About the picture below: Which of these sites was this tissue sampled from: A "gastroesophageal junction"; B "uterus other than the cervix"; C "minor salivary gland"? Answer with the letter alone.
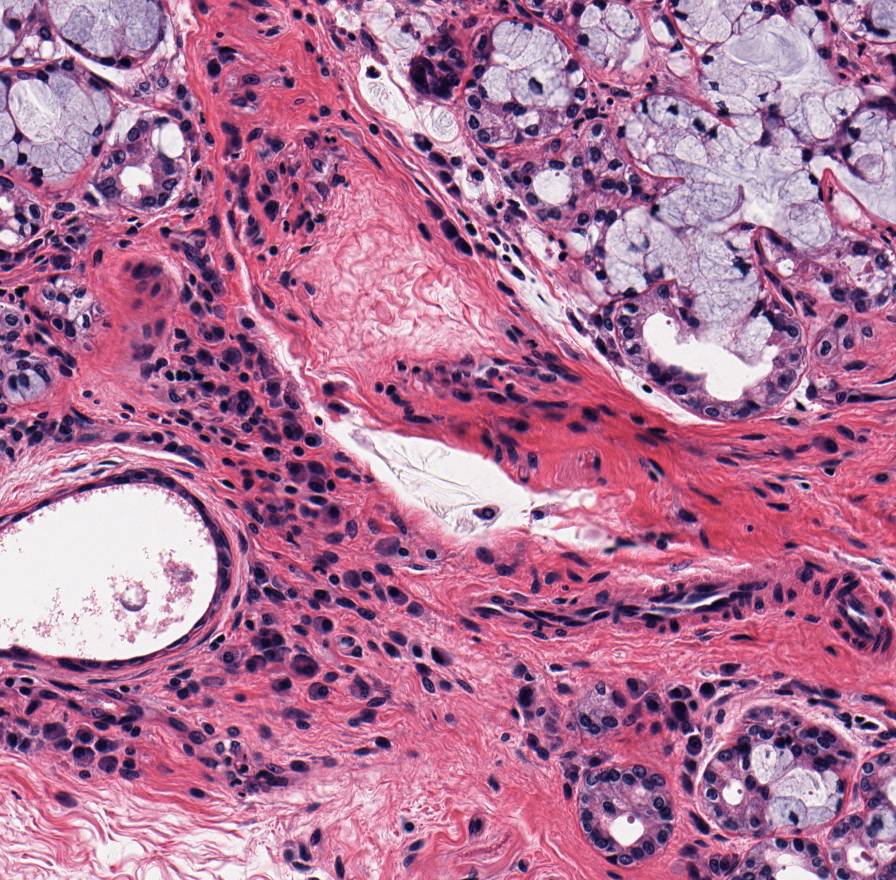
C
